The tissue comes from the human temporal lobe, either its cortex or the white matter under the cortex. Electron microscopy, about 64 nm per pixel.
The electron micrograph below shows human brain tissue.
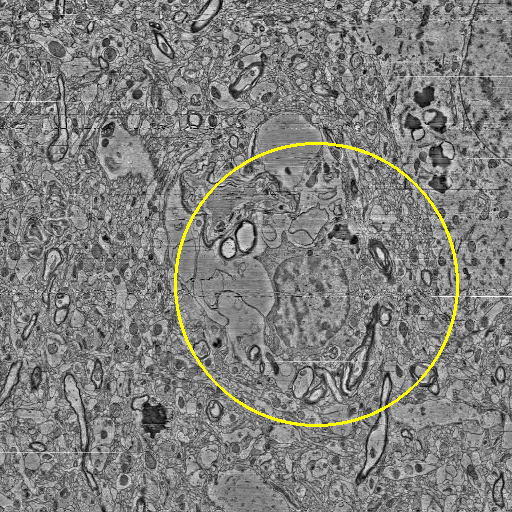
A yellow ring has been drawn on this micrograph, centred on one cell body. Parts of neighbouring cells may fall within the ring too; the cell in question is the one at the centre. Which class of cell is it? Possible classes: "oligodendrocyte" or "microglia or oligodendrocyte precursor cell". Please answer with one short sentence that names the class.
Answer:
In the centre of the ring sits an oligodendrocyte.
